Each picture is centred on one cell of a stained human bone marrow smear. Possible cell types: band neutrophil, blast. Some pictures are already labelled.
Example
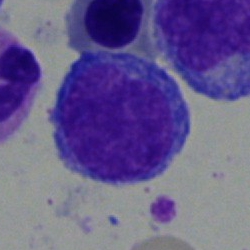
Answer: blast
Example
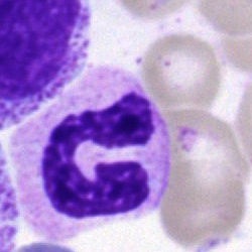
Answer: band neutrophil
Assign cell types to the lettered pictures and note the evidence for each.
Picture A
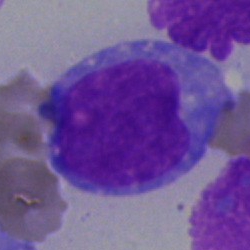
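Label: blast. The nucleus fills most of the cell.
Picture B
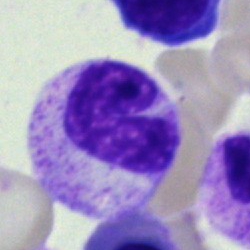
Label: band neutrophil. The chromatin is dark purple and coarsely clumped, with paler patches between.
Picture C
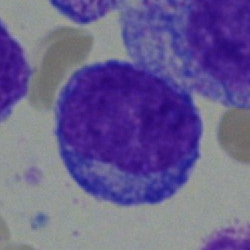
Label: blast. The nucleus fills most of the cell and sits toward its upper part.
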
